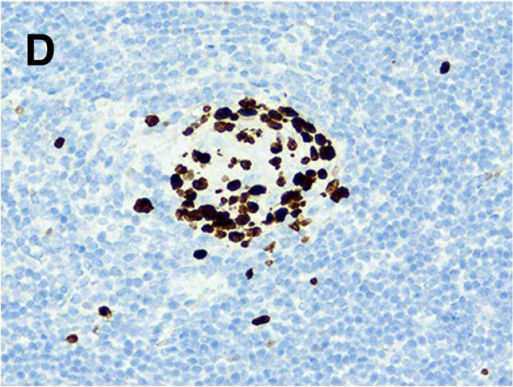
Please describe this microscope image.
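Lymphoid tissue of densely packed small lymphocytes with blue round nuclei surrounds a small pale follicle center. Within that centre a tight cluster of cells has darkly brown-stained nuclei, while only a few scattered brown nuclei lie in the surrounding sheet of lymphocytes.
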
